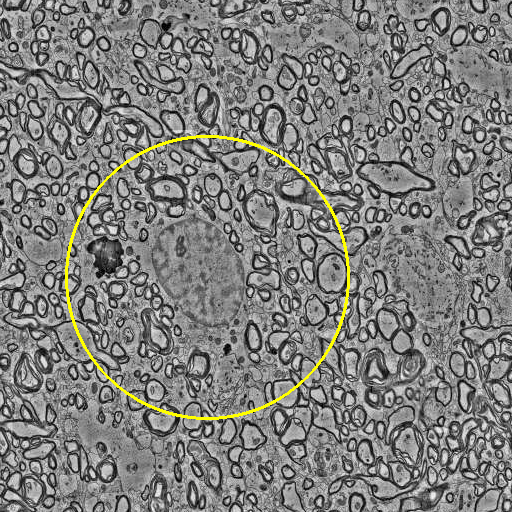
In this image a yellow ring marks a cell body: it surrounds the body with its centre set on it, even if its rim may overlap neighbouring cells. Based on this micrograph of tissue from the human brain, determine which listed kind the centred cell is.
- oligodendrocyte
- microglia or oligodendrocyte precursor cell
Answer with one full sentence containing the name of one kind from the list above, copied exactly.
It is an oligodendrocyte whose body the yellow ring encloses at its centre.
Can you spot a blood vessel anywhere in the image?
No, no vessel appears in the picture.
